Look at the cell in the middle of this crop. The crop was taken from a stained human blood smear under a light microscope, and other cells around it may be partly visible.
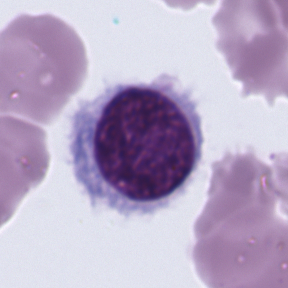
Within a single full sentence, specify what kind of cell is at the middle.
The middle position in this crop is taken by a hairy cell.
